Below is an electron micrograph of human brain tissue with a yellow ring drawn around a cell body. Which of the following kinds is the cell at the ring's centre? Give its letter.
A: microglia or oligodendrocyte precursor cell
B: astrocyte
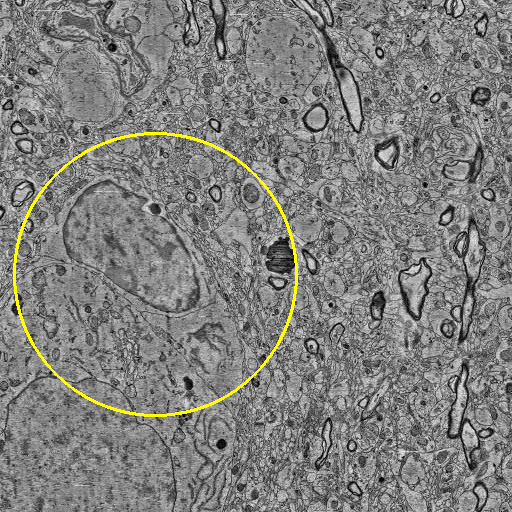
A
